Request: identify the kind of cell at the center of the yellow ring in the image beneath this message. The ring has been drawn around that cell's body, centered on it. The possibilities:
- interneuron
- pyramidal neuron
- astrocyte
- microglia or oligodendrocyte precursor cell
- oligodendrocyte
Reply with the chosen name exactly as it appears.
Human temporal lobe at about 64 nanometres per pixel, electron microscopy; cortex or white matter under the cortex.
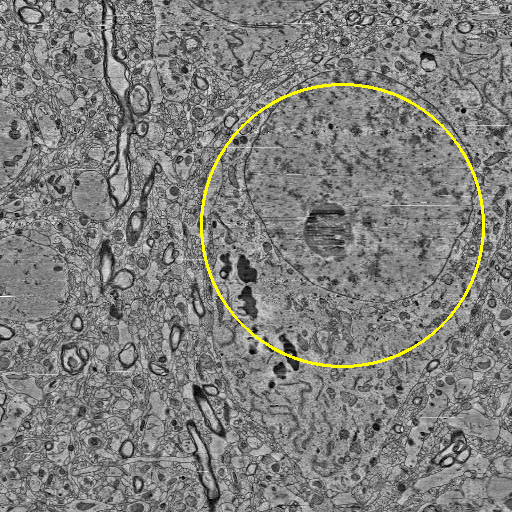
pyramidal neuron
